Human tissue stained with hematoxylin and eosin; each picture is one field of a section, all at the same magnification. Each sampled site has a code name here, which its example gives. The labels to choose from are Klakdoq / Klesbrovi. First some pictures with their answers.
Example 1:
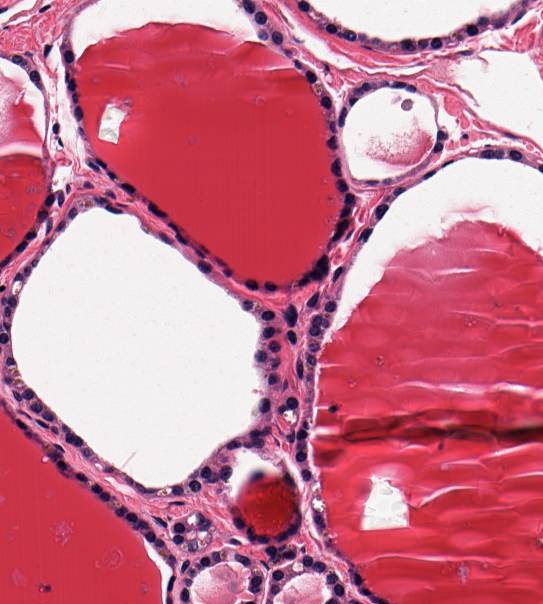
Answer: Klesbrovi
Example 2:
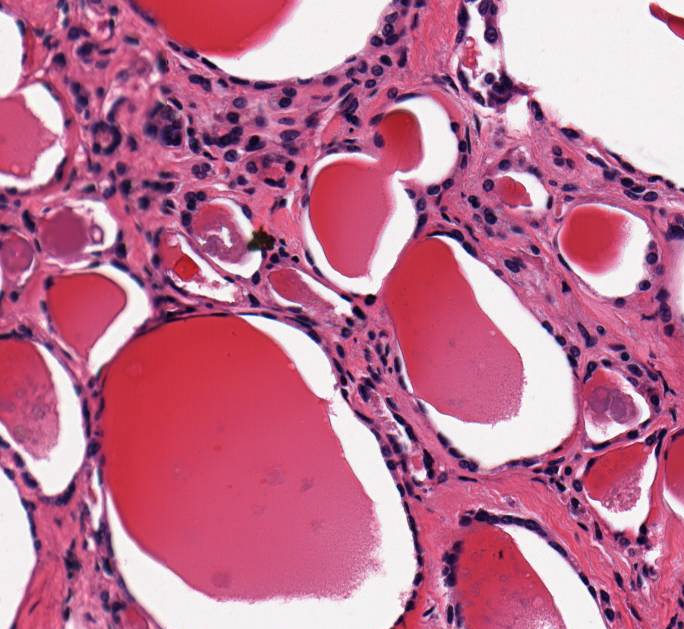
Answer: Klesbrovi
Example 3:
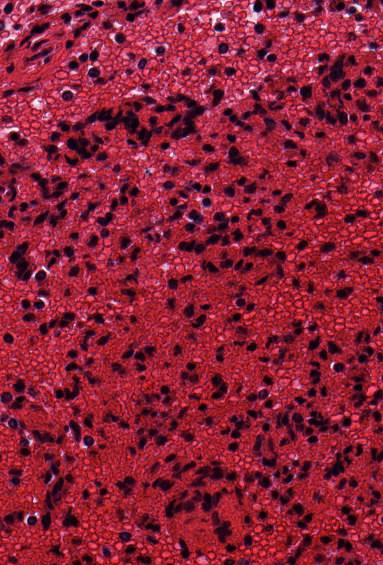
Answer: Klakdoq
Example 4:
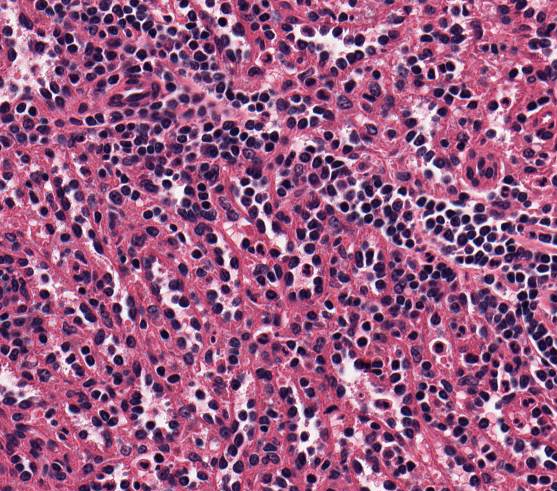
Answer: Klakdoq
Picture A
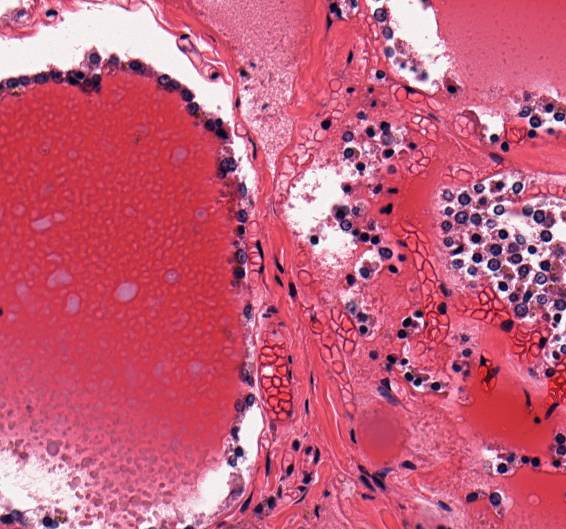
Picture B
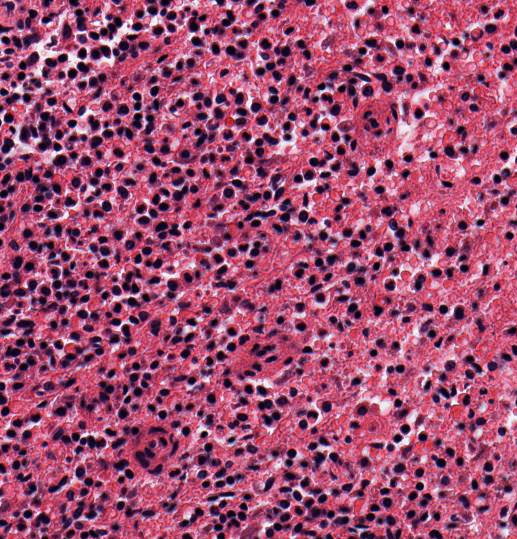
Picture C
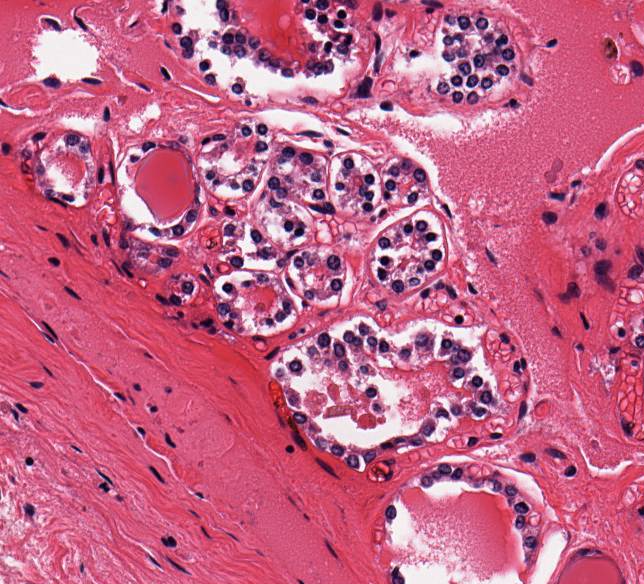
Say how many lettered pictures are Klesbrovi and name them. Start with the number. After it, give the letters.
2: A, C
